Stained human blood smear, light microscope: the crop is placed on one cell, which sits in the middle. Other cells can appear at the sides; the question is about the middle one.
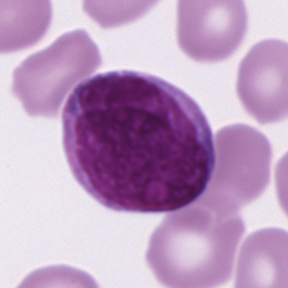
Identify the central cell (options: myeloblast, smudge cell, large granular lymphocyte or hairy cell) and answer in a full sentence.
In the middle of this smear crop is a myeloblast.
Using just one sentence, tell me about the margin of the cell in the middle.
The border of this cell runs smooth and free of any projections.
